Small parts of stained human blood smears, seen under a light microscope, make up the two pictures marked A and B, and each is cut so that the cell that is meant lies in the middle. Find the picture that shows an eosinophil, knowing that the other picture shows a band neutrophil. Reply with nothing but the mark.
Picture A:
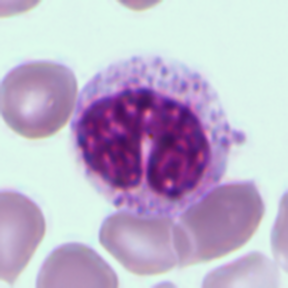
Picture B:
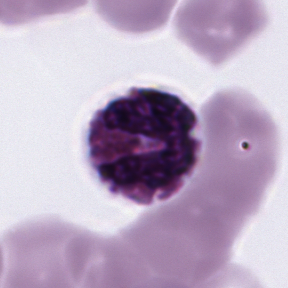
B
